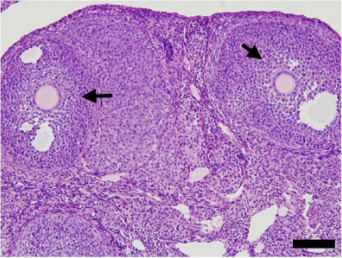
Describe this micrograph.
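This is ovarian tissue stained with hematoxylin and eosin, showing two large round follicles side by side. Each follicle is filled with many densely packed granulosa cells with purple nuclei, surrounding a pale pink oocyte. Small clear fluid spaces lie among the granulosa cells. The follicles are bordered by thin layers of spindle-shaped stromal cells.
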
